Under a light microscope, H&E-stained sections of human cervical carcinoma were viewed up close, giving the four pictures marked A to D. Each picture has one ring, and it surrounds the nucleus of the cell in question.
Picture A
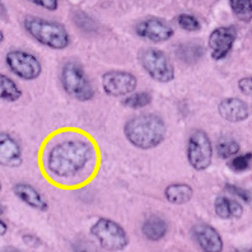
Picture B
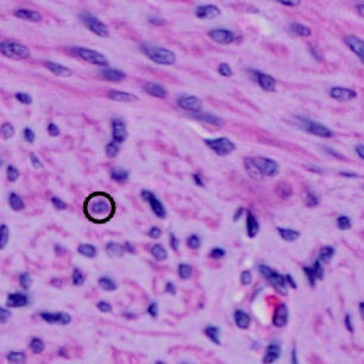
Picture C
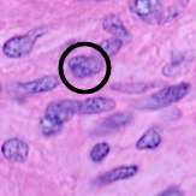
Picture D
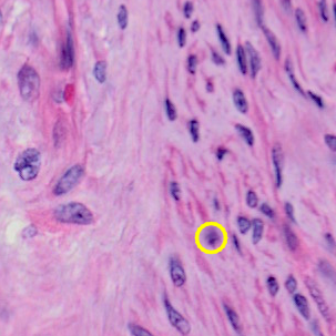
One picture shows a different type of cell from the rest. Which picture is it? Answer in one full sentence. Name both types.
The others show smooth muscle cells, but picture A shows a squamous carcinoma cell.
